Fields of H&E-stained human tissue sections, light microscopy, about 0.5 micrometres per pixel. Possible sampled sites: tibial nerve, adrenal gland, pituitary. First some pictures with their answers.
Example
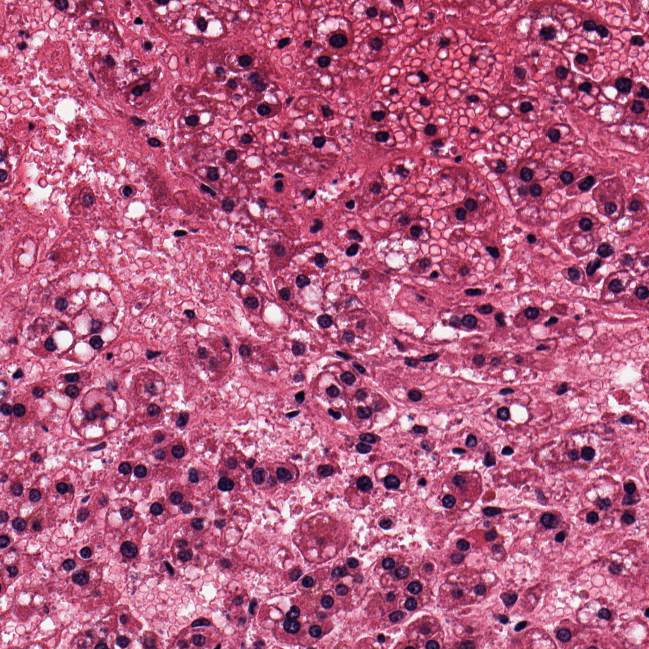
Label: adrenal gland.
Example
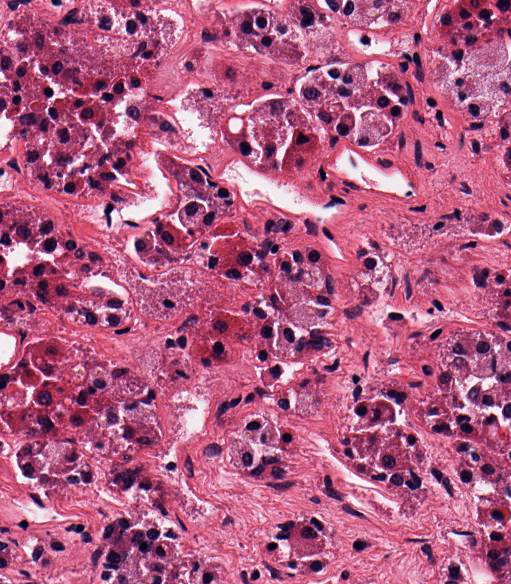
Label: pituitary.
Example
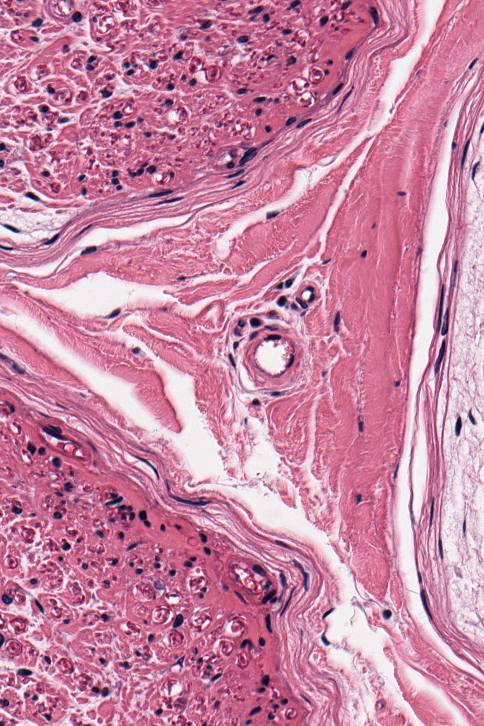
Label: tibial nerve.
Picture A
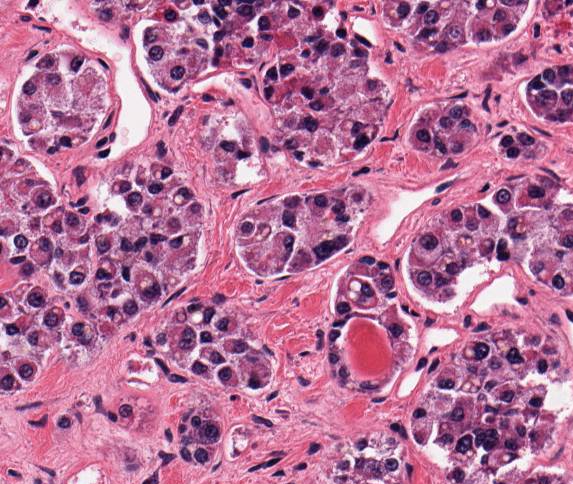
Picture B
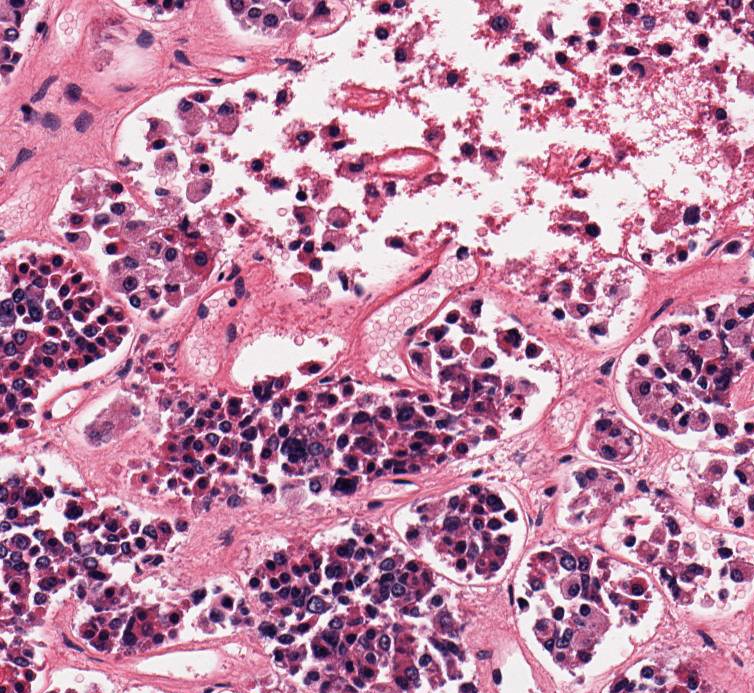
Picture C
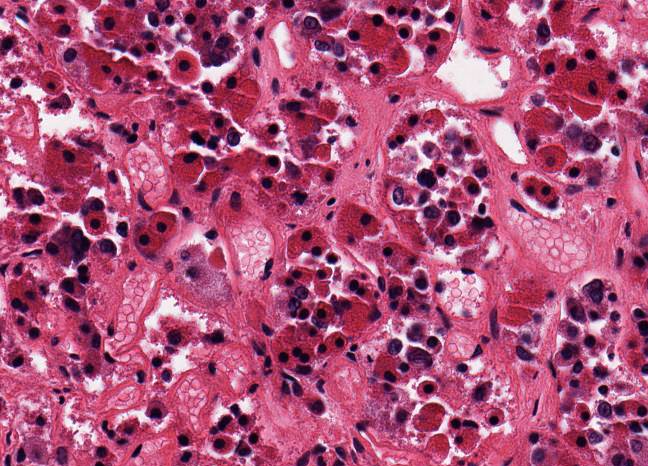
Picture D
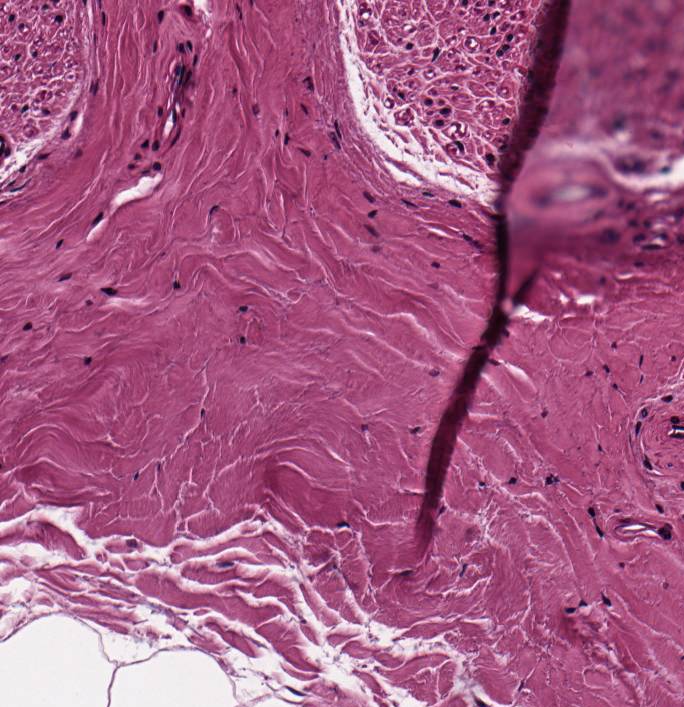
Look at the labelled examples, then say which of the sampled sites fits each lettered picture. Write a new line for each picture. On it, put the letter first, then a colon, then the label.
A: pituitary.
B: pituitary.
C: pituitary.
D: tibial nerve.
